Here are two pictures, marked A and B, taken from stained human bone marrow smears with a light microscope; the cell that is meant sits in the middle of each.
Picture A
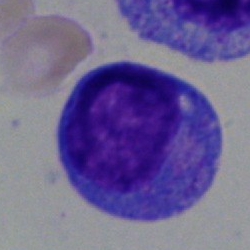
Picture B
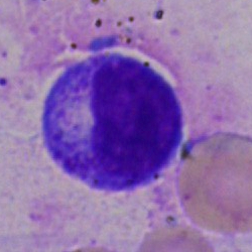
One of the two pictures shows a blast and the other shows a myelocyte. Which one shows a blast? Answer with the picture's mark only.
A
